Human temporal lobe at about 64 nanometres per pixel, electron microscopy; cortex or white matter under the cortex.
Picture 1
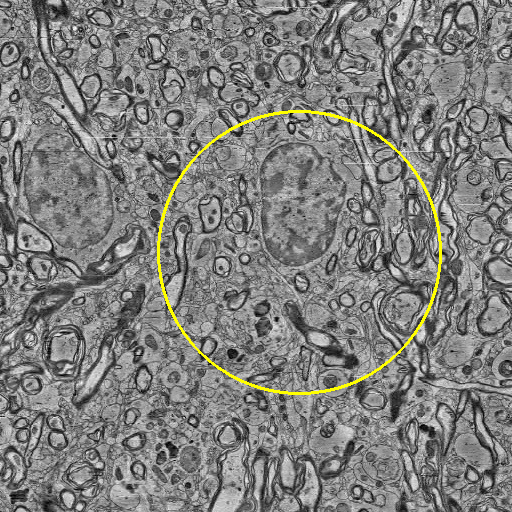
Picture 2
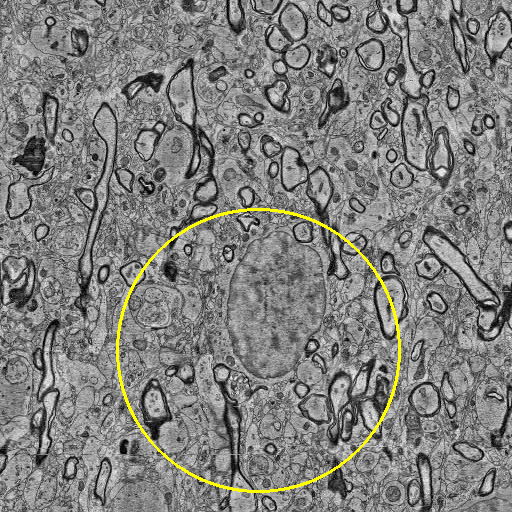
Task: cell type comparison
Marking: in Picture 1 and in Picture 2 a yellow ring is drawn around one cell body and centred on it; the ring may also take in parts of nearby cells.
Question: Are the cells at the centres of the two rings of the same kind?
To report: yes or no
no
